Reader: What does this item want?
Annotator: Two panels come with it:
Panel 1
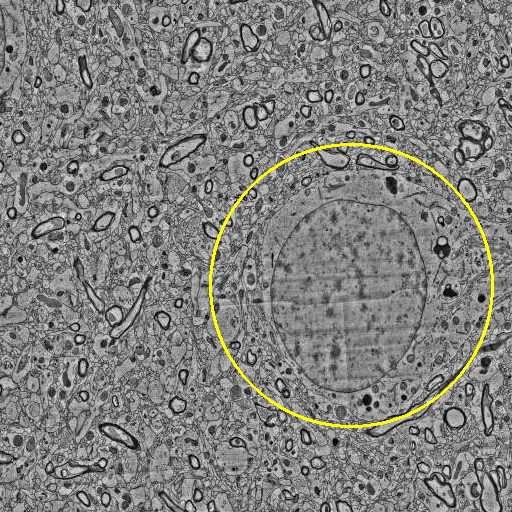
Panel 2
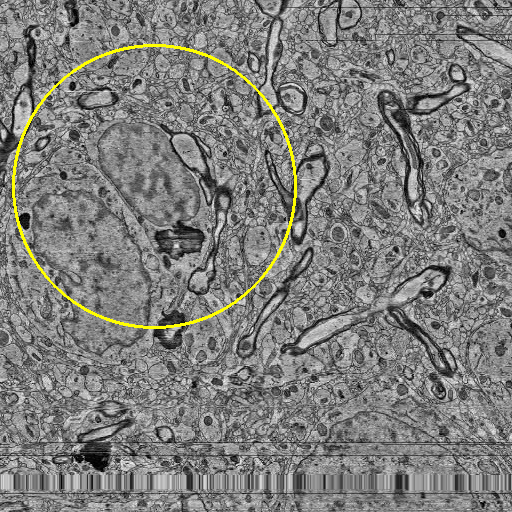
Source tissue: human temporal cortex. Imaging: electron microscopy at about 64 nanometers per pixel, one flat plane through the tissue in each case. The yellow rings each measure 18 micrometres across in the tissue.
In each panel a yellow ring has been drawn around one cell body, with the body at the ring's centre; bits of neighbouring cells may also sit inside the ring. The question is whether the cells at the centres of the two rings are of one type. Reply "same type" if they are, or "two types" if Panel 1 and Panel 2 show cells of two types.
two types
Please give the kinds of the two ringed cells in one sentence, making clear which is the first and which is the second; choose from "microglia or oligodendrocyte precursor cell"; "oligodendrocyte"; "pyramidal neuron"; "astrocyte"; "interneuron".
In the second picture the ringed cell is an oligodendrocyte; in the first it is a pyramidal neuron.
